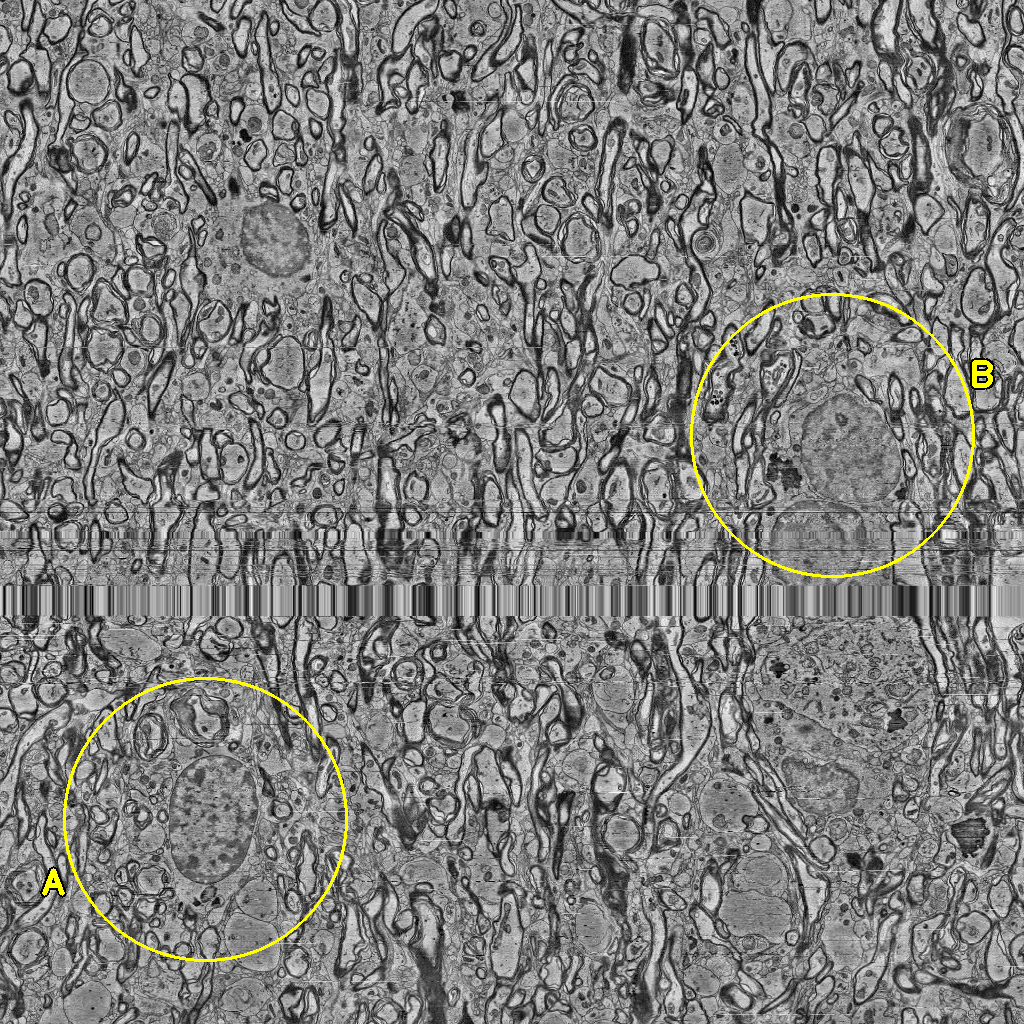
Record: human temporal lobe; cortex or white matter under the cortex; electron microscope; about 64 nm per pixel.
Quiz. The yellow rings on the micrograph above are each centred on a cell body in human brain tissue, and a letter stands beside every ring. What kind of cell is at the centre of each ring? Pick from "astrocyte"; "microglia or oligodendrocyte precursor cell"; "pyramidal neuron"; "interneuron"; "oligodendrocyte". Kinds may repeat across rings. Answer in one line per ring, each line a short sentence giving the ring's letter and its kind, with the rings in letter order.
The ring labelled A has a microglial cell or oligodendrocyte precursor cell at its centre.
The ring labelled B has an oligodendrocyte at its centre.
